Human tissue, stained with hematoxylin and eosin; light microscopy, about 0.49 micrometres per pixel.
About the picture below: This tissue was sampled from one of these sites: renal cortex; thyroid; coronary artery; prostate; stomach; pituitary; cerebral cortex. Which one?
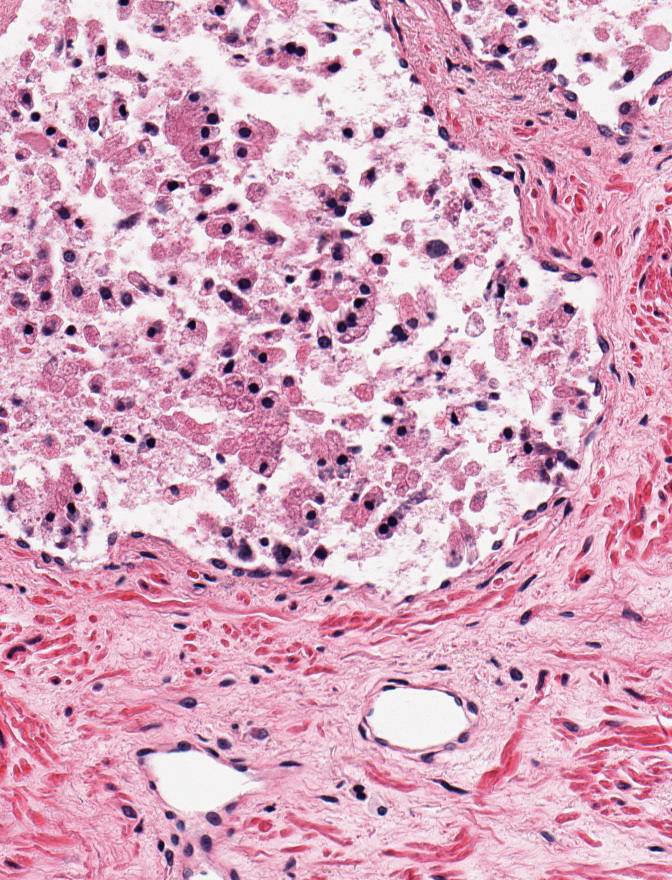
prostate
